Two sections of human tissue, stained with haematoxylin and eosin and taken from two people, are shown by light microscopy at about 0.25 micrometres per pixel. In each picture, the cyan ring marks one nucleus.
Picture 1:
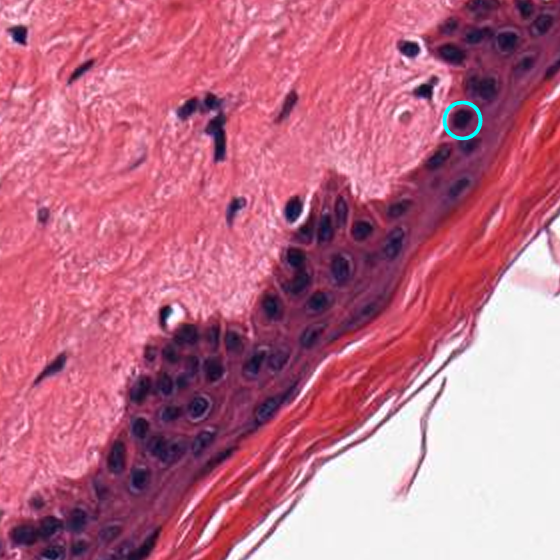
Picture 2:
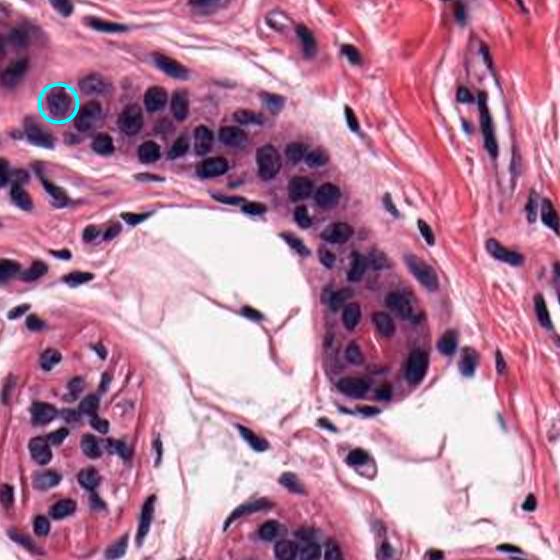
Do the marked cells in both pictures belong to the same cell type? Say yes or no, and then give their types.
No, the first is a keratinocyte and the second a sweat gland cell.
